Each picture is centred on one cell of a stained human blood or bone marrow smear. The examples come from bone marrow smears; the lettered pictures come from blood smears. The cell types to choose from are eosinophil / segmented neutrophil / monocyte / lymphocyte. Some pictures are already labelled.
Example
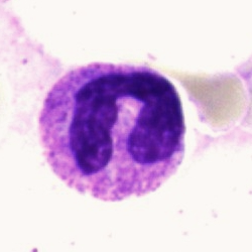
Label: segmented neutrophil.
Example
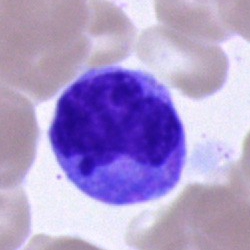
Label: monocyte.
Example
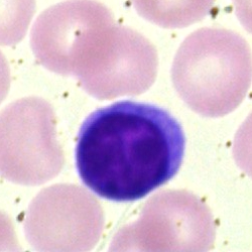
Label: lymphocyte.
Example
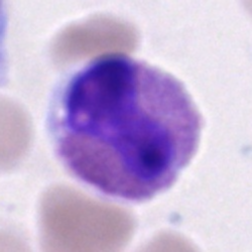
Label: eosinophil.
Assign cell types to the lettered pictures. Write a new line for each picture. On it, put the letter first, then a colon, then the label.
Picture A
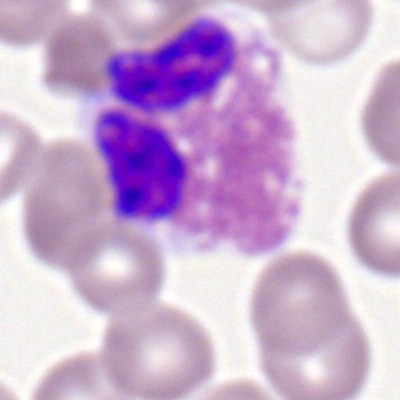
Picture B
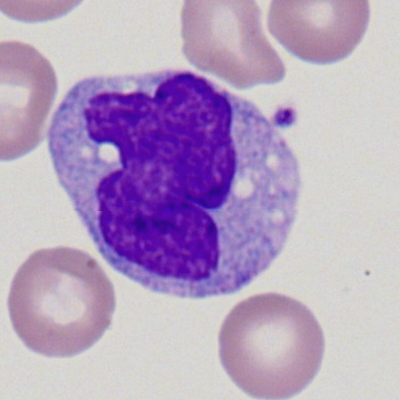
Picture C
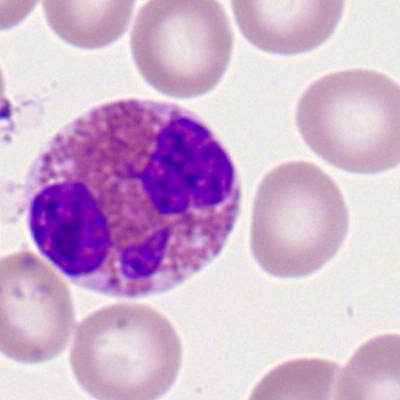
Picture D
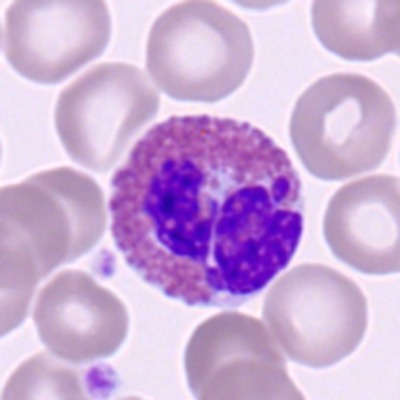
A: eosinophil.
B: monocyte.
C: eosinophil.
D: eosinophil.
